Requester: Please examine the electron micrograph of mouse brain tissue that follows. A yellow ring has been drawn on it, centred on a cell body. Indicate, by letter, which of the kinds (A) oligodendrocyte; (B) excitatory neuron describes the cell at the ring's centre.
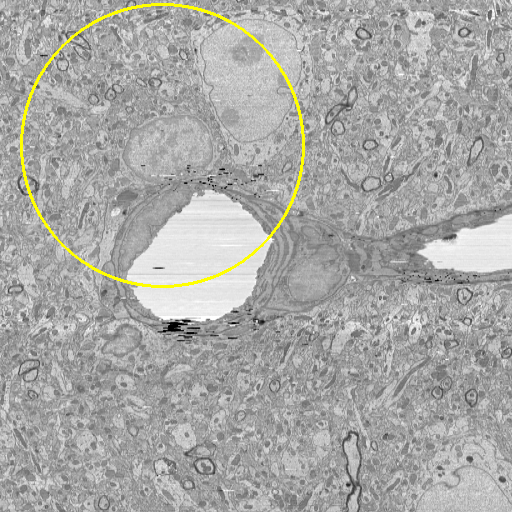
A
